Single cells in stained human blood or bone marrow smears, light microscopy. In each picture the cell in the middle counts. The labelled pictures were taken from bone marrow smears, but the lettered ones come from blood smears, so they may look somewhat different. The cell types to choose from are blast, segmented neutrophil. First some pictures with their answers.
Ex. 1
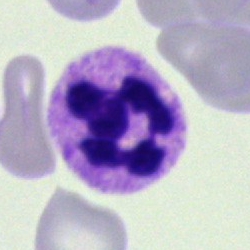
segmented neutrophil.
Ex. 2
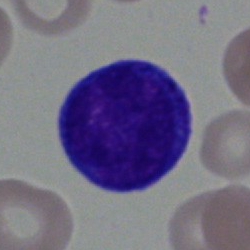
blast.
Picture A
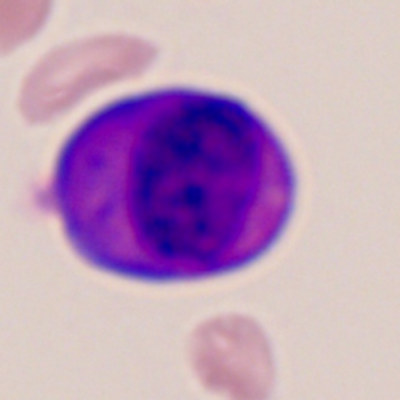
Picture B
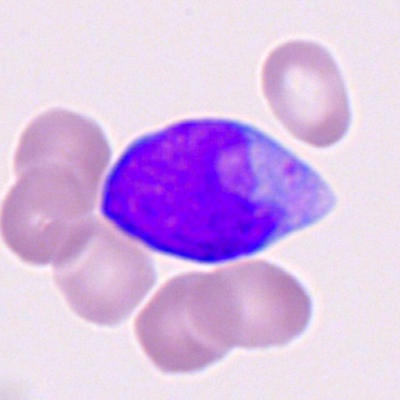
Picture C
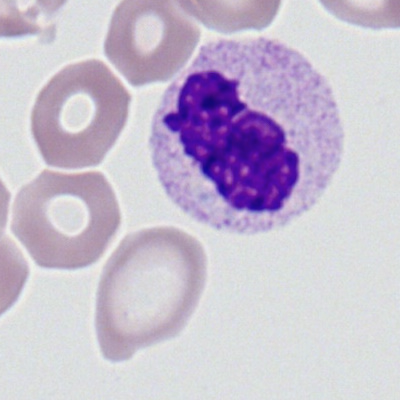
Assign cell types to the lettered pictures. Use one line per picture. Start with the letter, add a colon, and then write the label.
A: blast.
B: blast.
C: segmented neutrophil.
